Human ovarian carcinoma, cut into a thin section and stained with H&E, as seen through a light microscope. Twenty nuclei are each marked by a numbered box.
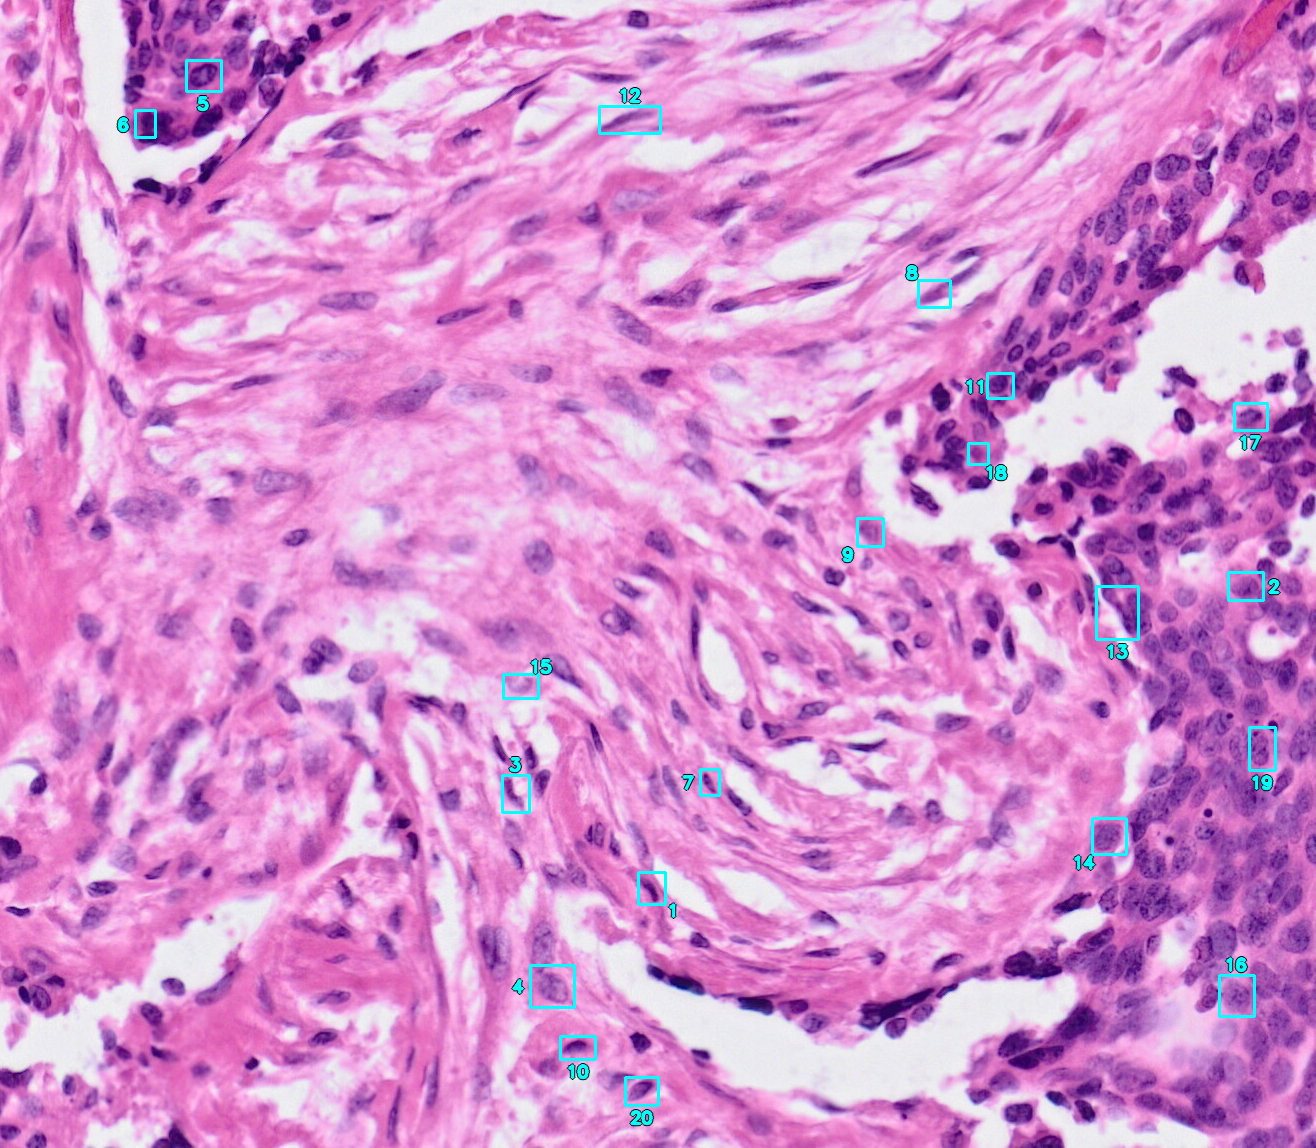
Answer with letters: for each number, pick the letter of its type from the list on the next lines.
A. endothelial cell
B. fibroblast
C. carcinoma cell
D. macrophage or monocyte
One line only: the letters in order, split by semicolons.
B; C; B; B; C; C; B; B; B; B; D; B; C; C; B; C; D; C; C; B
